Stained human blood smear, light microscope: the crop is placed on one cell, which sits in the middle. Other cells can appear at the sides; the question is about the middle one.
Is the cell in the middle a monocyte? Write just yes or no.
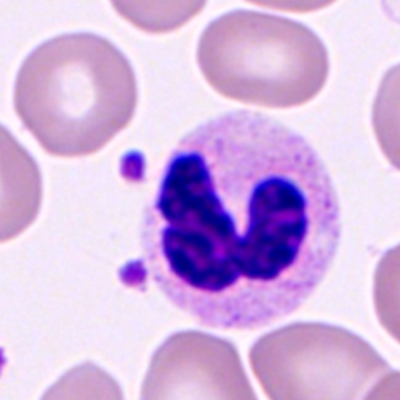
no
